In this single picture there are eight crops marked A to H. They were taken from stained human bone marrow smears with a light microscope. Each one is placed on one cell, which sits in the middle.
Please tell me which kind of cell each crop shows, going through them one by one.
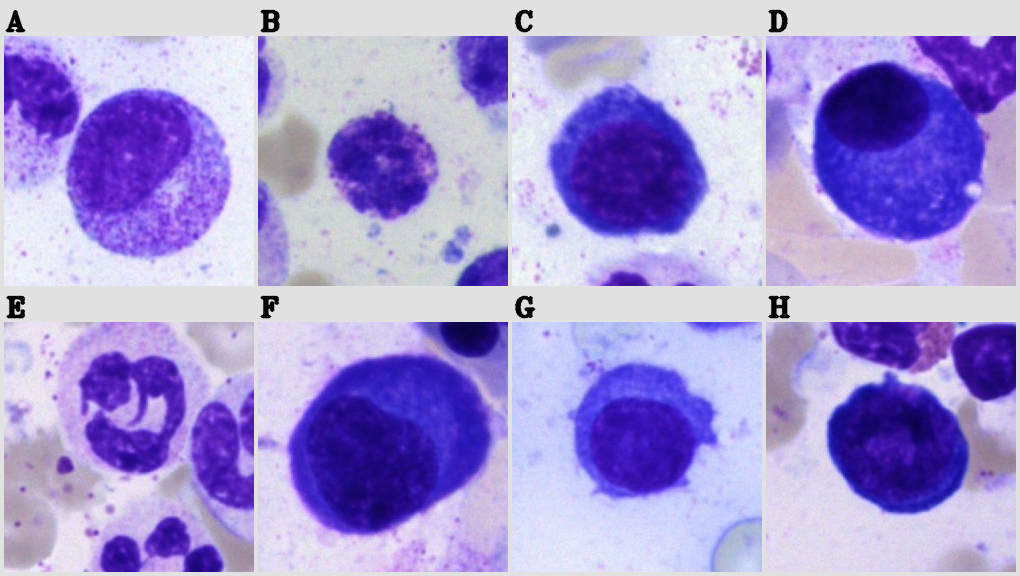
A: myelocyte
B: basophil
C: proerythroblast
D: plasma cell
E: segmented neutrophil
F: plasma cell
G: plasma cell
H: proerythroblast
